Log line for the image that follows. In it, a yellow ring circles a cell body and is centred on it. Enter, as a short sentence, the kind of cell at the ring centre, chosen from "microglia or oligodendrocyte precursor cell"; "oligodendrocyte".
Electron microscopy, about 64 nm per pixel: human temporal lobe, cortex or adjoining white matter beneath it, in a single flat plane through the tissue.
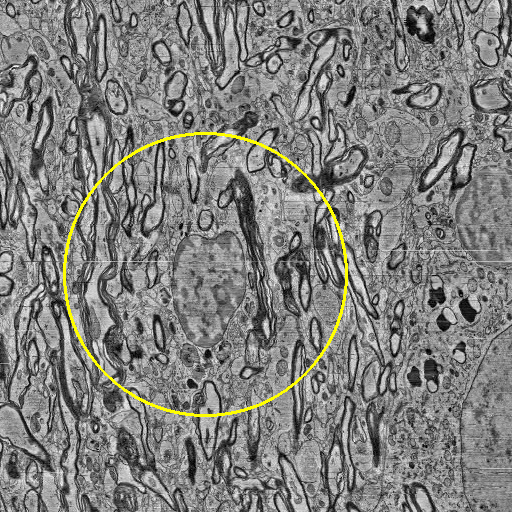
The ring centre is occupied by a microglial cell or oligodendrocyte precursor cell.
